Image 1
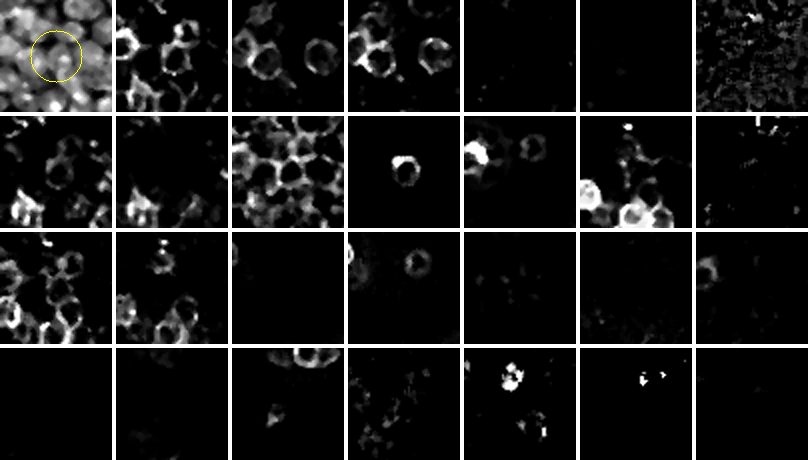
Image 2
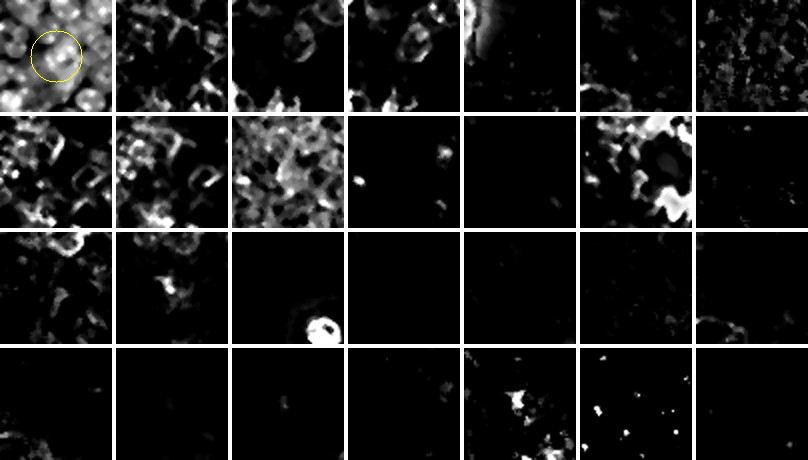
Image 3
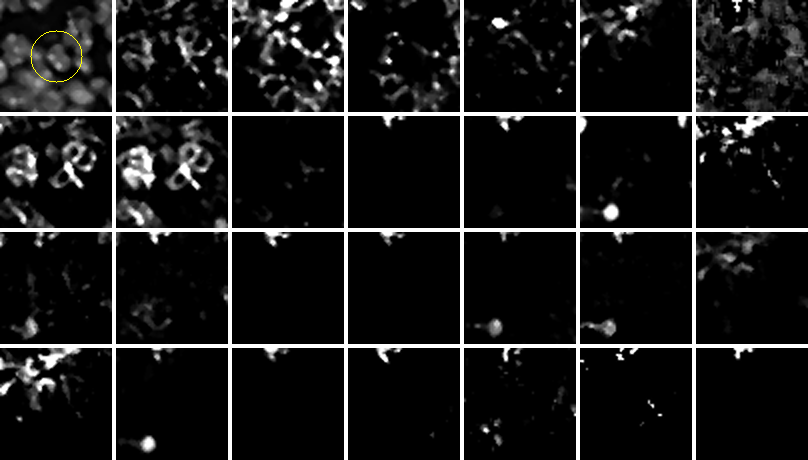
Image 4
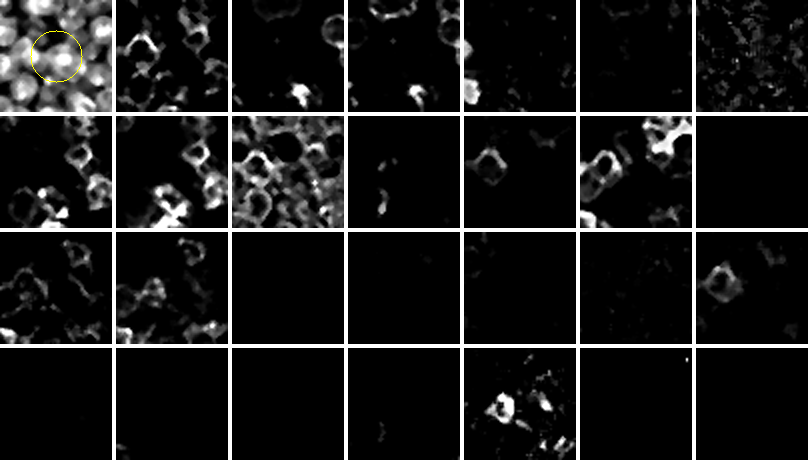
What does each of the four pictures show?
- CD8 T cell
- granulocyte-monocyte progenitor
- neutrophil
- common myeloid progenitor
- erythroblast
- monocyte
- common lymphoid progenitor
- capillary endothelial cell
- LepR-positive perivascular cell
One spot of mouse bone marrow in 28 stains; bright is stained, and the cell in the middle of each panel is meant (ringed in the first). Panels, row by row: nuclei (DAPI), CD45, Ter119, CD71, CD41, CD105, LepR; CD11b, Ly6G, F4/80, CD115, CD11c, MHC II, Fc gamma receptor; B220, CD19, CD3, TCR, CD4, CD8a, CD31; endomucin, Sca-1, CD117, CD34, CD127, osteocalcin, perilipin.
1: monocyte
2: common lymphoid progenitor
3: neutrophil
4: common lymphoid progenitor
